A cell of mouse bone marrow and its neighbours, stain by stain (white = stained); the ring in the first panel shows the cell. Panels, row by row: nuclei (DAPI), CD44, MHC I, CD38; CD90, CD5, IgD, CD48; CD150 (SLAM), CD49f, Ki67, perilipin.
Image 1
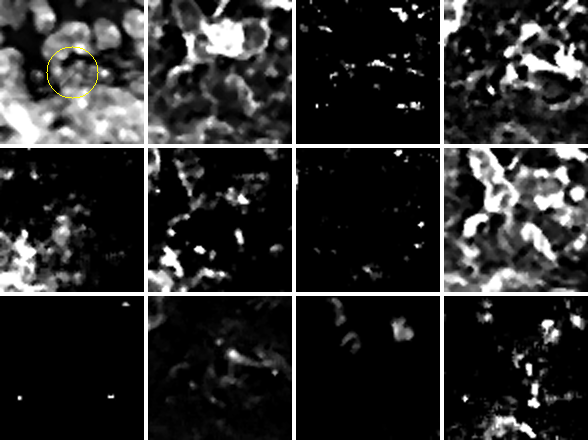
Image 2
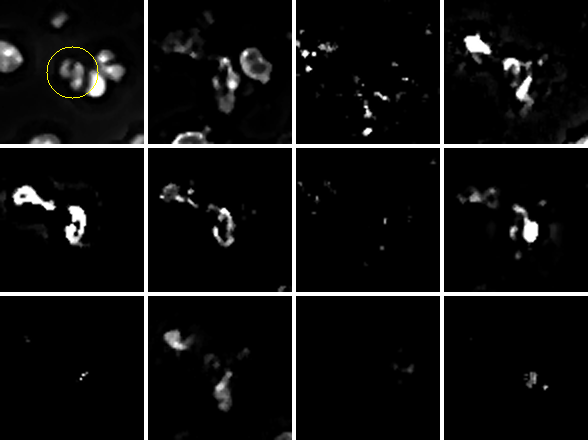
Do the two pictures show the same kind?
Yes, both are capillary endothelial cells.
